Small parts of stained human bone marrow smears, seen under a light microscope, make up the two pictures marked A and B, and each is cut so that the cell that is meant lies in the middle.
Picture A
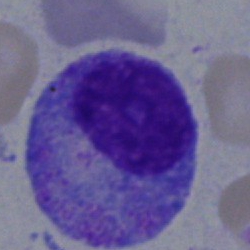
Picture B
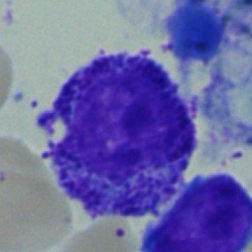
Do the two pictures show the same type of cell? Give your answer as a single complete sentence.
No; the cell in picture A is a promyelocyte, while the one in picture B is a myelocyte.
